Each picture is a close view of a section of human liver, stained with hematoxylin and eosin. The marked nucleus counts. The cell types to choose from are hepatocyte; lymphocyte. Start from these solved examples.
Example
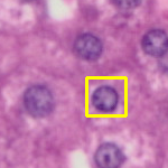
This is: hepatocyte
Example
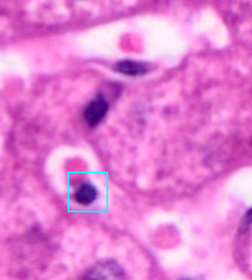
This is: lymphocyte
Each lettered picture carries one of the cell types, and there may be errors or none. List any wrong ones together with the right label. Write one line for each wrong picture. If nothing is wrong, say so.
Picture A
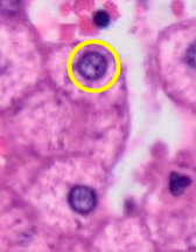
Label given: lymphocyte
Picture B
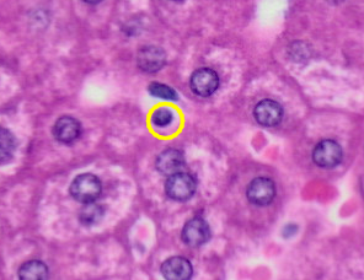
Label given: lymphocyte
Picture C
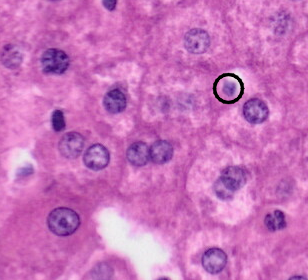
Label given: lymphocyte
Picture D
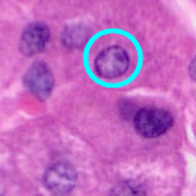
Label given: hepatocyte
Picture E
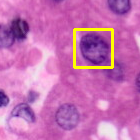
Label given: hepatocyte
A should be hepatocyte, not lymphocyte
